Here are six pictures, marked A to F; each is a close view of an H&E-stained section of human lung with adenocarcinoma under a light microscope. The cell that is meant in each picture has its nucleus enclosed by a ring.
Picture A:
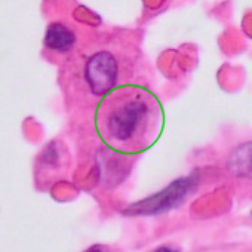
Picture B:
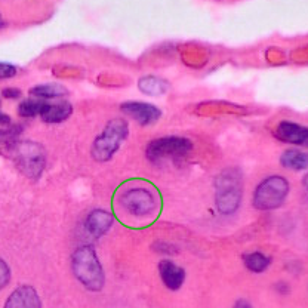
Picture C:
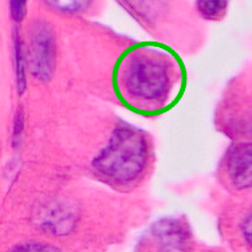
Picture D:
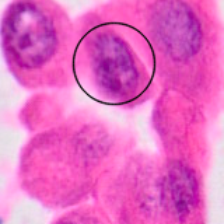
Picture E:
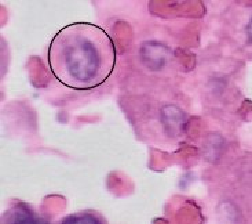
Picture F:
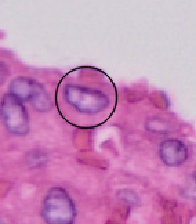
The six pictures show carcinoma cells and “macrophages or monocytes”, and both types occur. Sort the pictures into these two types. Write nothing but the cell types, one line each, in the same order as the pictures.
macrophage or monocyte
macrophage or monocyte
carcinoma cell
carcinoma cell
macrophage or monocyte
macrophage or monocyte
